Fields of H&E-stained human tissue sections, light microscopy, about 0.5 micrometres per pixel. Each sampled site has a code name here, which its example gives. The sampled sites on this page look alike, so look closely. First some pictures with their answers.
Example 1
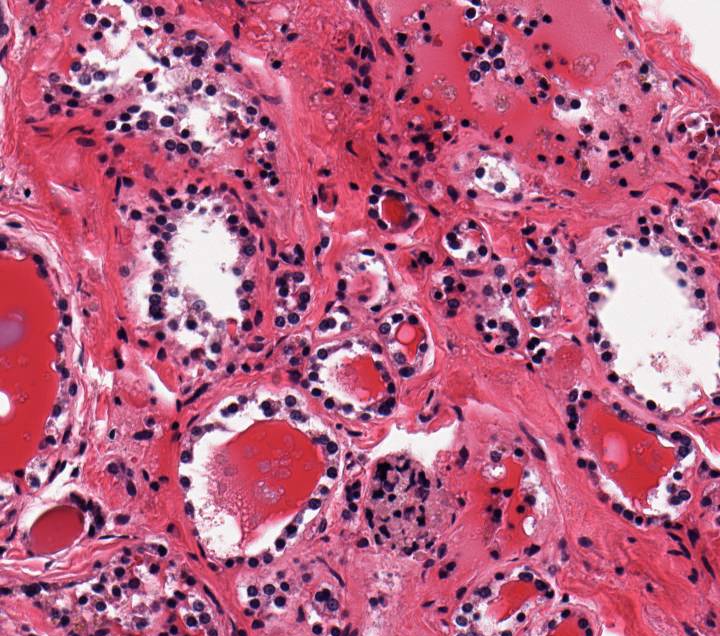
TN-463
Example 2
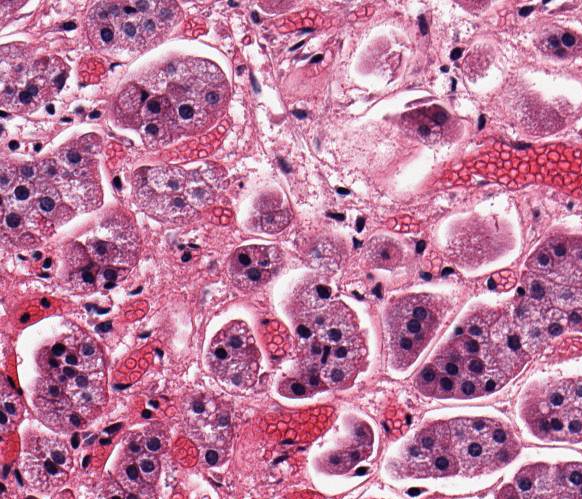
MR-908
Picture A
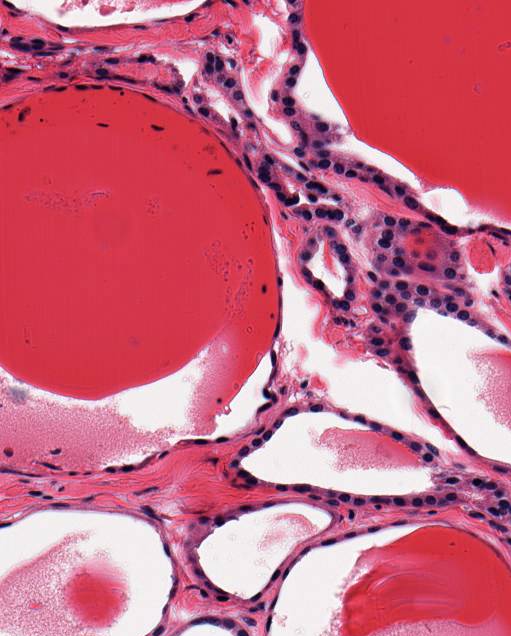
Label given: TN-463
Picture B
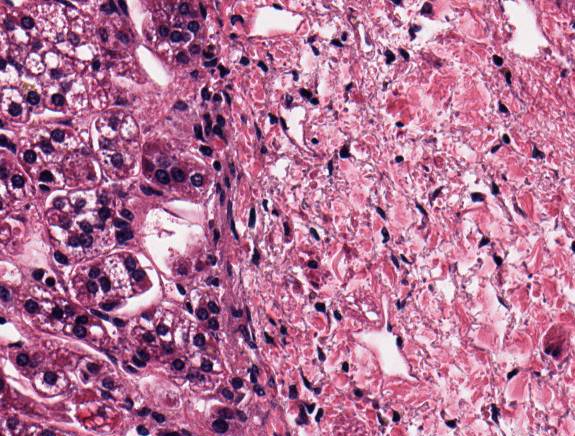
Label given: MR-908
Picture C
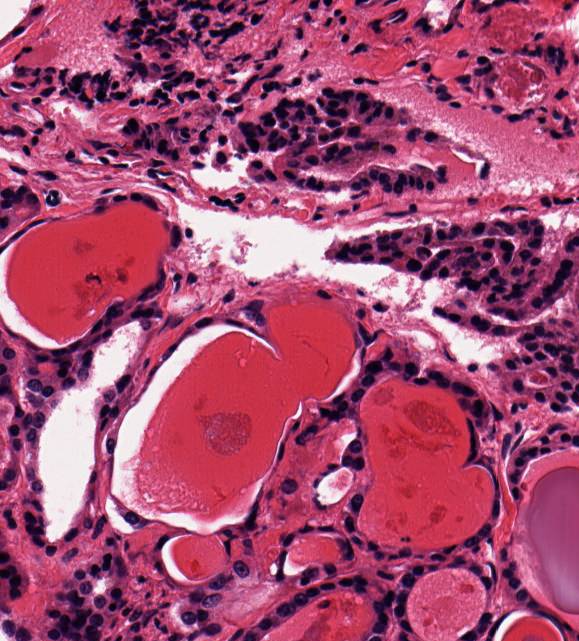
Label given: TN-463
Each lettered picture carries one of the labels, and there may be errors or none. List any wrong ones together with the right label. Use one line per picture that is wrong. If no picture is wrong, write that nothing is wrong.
Every label is right.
